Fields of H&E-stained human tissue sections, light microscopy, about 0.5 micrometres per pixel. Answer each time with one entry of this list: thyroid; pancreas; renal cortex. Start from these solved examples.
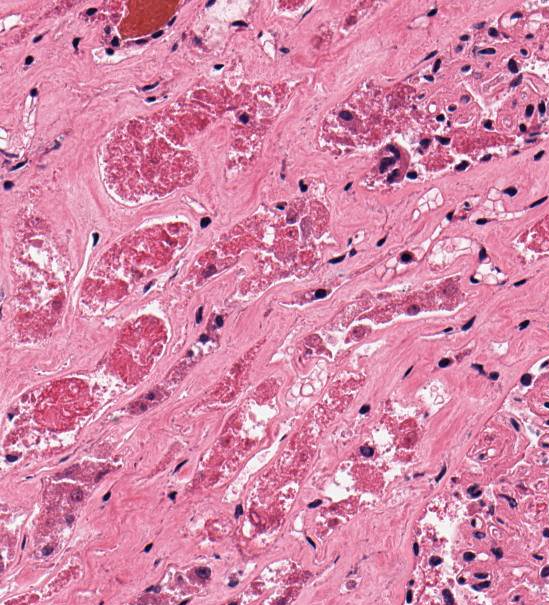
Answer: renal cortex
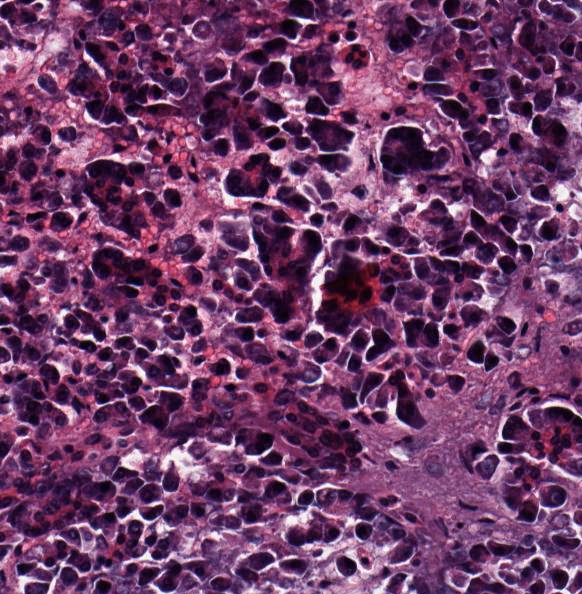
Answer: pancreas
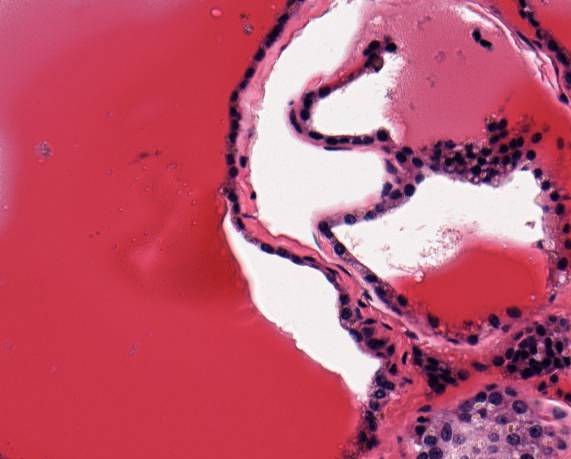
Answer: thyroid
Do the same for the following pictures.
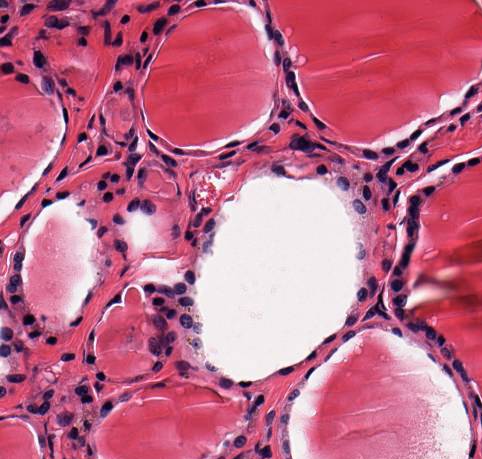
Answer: thyroid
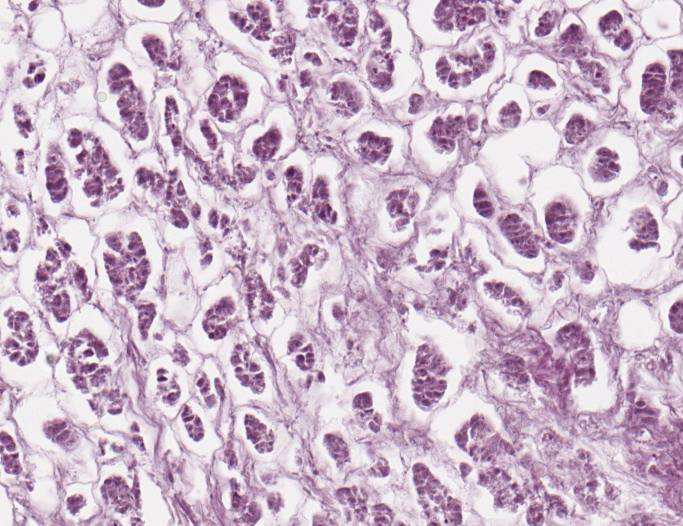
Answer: pancreas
